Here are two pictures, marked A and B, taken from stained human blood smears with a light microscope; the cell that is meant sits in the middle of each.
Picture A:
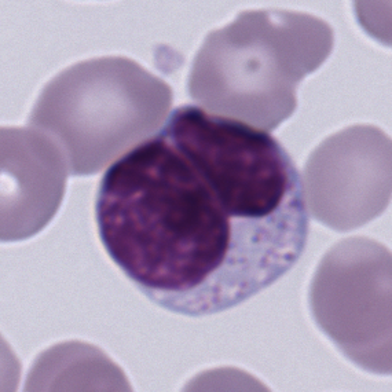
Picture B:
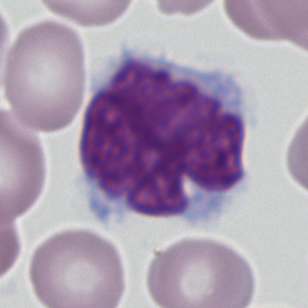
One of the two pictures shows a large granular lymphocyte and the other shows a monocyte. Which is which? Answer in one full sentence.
In picture A the cell is a large granular lymphocyte; in picture B, a monocyte.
